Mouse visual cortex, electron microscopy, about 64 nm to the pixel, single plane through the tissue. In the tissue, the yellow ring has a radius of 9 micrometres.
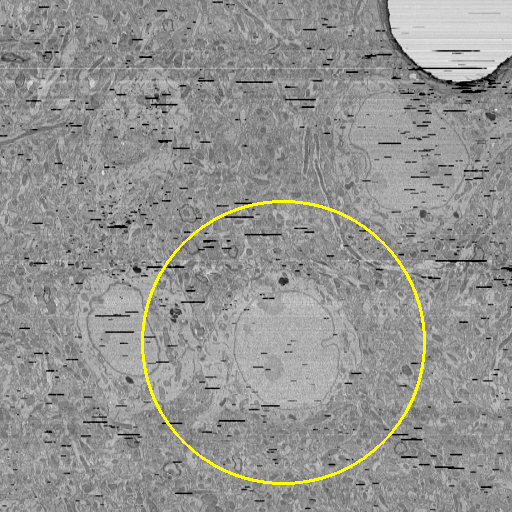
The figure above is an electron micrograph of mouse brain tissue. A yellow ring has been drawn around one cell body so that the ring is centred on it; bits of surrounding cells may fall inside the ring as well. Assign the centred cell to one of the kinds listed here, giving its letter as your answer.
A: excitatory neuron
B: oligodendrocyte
A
